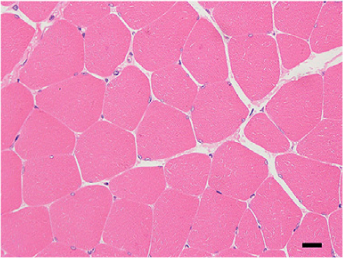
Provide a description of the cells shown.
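This is a transverse section of skeletal muscle in which the muscle fibers are cut across and appear as large, closely packed polygonal profiles with evenly pink cytoplasm. The fibers are fairly uniform in size and shape. Small, dark purple nuclei are few and sit at the edges of the fibers, beneath their surfaces, rather than in their centres. Thin pale lines of connective tissue separate neighbouring fibers, and a few wider white clefts run between groups of fibers. The cytoplasm is smooth and homogeneous, and there is no crowding of nuclei between the fibers.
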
